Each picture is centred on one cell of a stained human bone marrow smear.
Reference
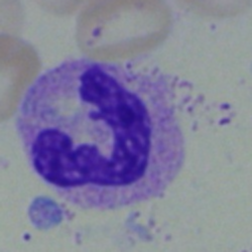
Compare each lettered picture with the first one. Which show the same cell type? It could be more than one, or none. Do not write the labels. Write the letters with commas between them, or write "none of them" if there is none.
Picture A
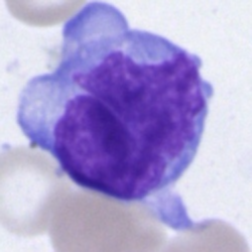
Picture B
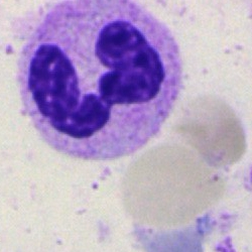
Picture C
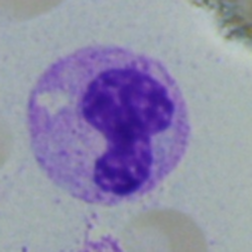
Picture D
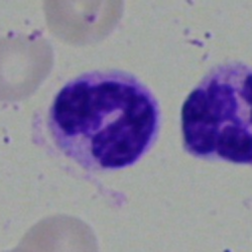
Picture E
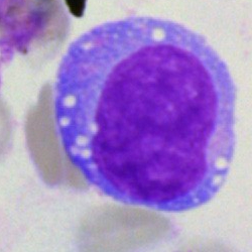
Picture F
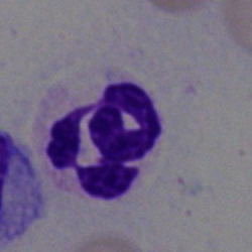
B, C, D, F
